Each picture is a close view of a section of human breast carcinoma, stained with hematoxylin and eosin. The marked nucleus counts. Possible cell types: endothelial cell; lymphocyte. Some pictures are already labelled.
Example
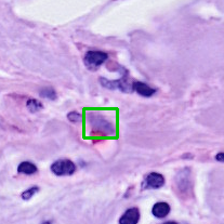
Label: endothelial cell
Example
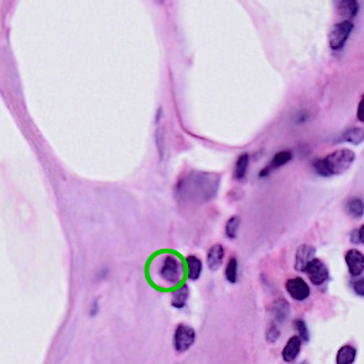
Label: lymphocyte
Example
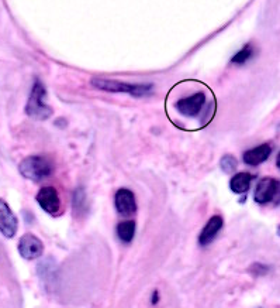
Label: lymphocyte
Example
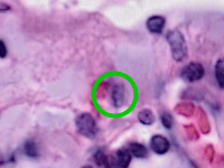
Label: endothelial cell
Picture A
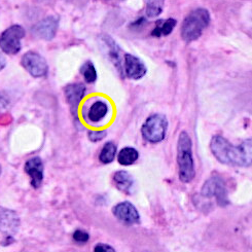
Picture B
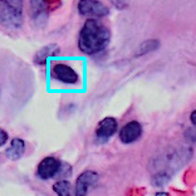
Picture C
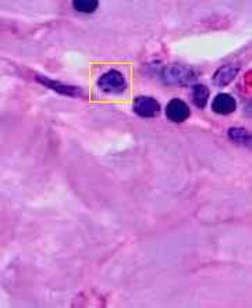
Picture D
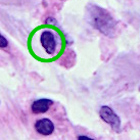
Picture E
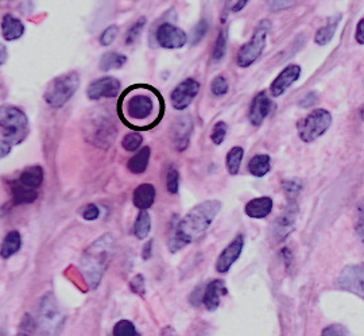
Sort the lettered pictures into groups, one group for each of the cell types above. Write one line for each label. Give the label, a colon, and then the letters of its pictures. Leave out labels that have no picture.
lymphocyte: A, B, C, D, E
